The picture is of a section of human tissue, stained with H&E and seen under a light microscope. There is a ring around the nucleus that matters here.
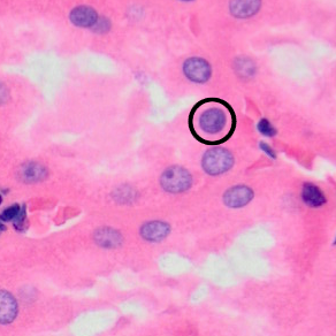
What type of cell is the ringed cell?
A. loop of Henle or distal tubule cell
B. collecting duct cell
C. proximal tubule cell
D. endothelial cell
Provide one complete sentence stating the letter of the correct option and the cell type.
The item is answered by option C: the ringed cell is a proximal tubule cell.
